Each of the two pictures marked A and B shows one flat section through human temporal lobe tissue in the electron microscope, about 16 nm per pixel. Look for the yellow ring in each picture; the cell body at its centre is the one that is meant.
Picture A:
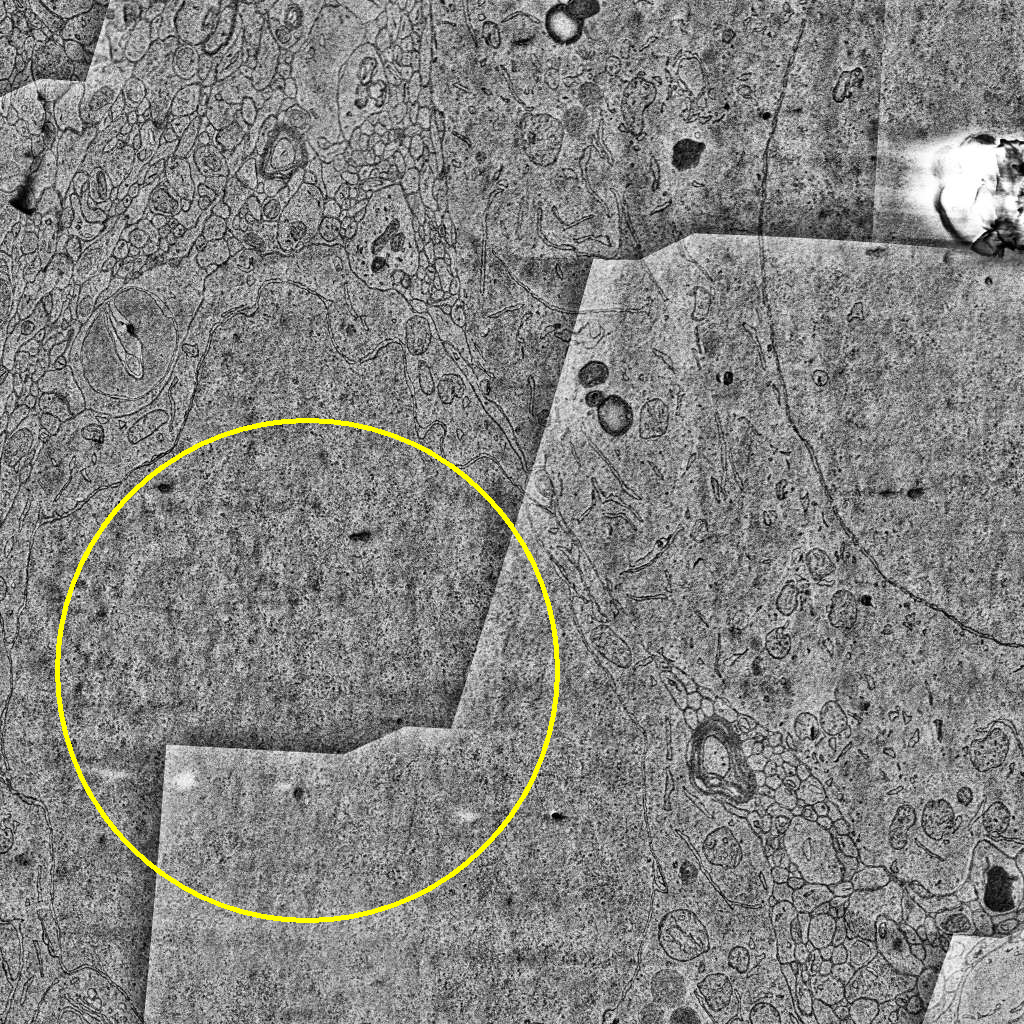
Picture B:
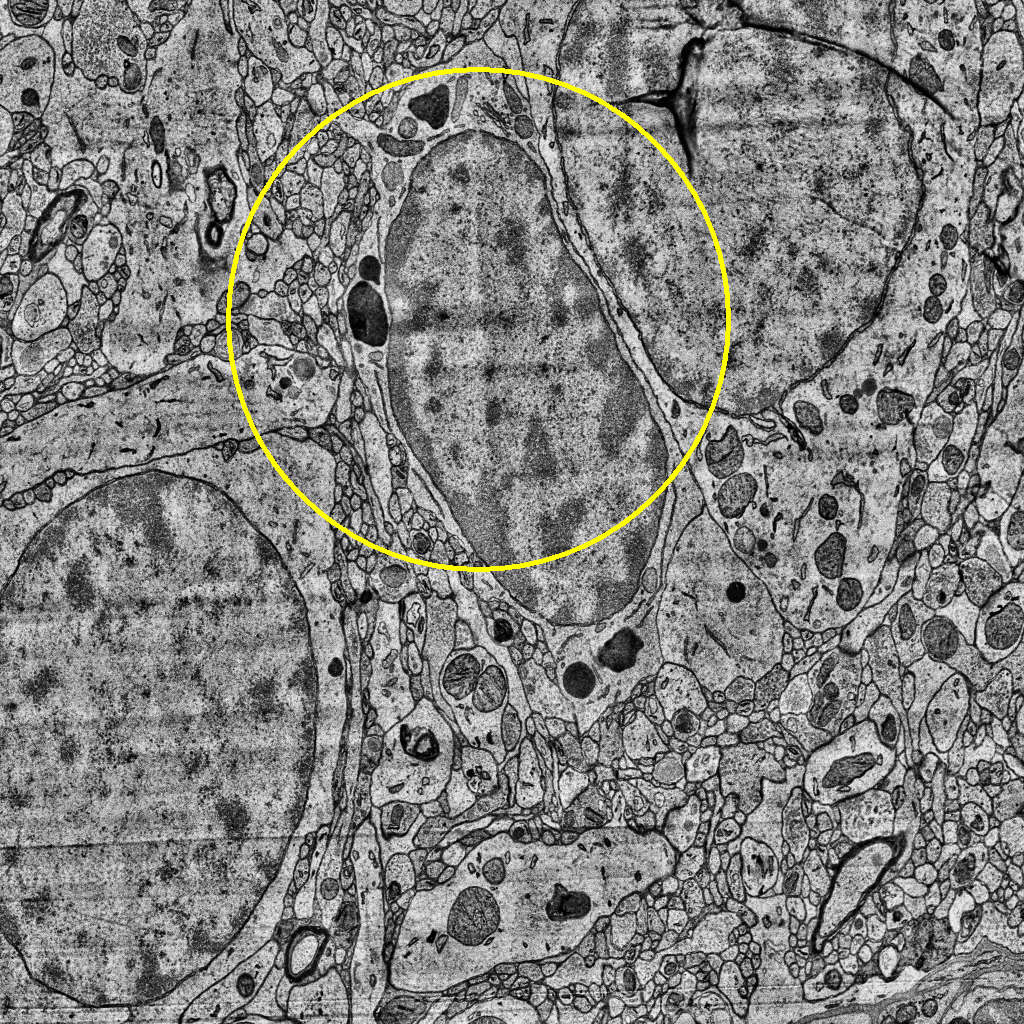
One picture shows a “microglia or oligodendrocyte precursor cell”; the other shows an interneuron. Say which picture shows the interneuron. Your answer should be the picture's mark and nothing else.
A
